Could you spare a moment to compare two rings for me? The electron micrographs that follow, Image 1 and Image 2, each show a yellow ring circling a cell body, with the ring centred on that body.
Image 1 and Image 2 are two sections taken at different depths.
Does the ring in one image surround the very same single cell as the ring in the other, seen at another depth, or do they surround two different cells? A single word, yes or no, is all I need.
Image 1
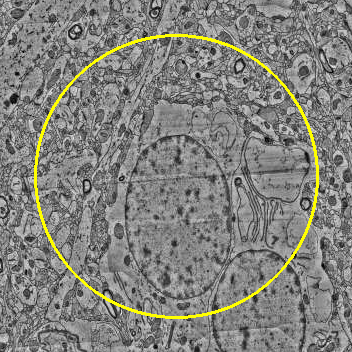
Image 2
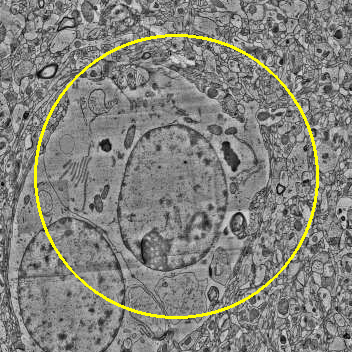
no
